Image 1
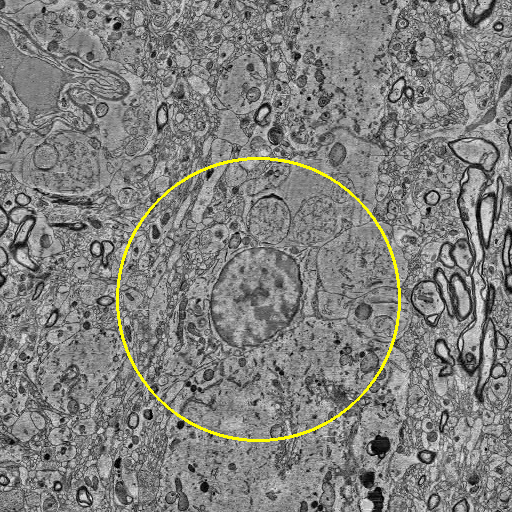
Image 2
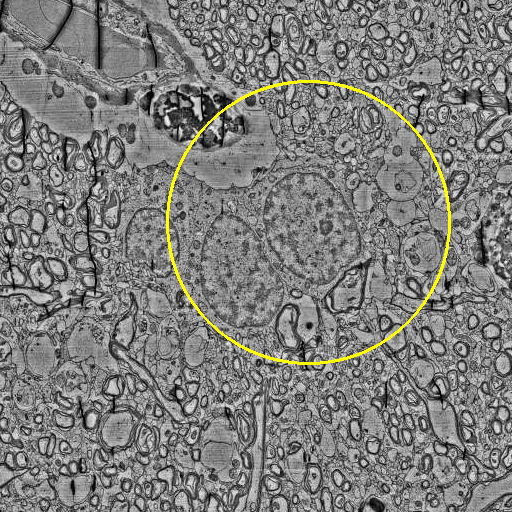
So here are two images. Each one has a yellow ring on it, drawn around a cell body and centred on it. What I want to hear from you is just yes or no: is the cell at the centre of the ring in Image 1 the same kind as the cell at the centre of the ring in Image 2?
no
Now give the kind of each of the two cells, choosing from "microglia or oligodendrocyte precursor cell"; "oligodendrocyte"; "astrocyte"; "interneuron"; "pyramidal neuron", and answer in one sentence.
The cell in the first picture is a microglial cell or oligodendrocyte precursor cell, and the cell in the second is an oligodendrocyte.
